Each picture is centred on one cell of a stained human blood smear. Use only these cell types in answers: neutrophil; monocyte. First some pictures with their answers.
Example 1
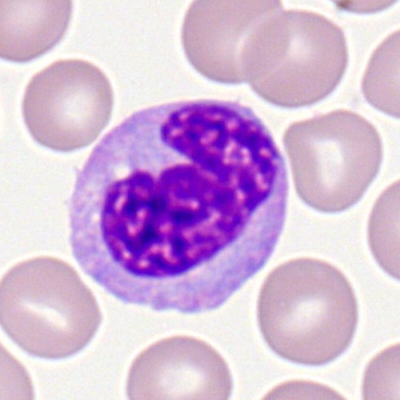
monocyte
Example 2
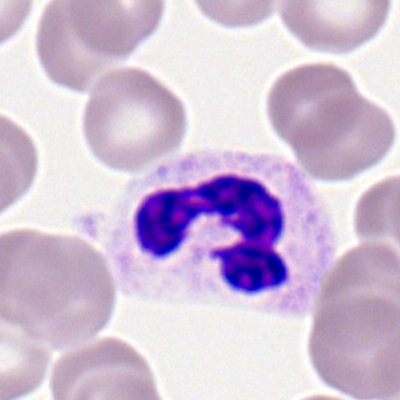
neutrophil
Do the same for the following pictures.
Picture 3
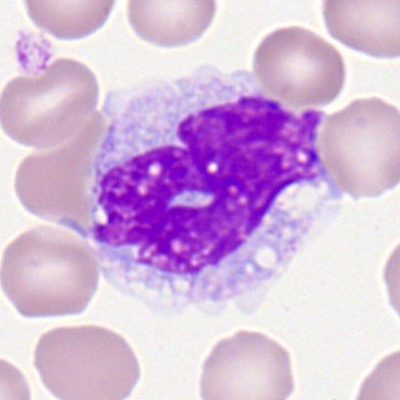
monocyte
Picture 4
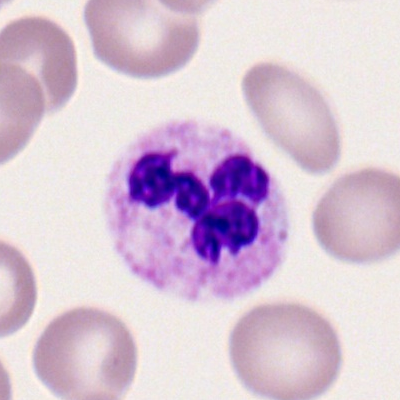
neutrophil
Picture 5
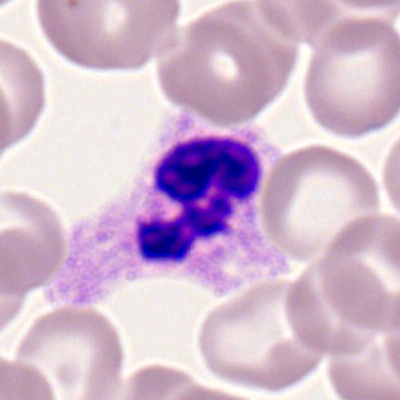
neutrophil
